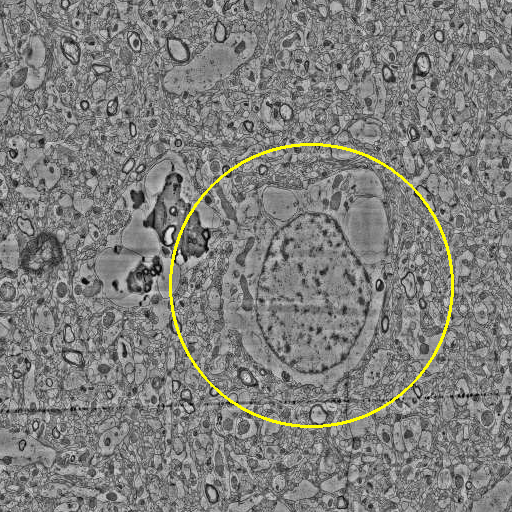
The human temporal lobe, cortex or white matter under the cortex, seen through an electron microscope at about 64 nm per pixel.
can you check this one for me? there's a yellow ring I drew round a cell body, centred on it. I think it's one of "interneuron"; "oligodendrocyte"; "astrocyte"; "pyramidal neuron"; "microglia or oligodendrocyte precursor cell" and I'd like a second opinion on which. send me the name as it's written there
astrocyte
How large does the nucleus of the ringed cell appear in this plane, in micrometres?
The nucleus appears roughly 10 by 7 micrometres in this plane.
